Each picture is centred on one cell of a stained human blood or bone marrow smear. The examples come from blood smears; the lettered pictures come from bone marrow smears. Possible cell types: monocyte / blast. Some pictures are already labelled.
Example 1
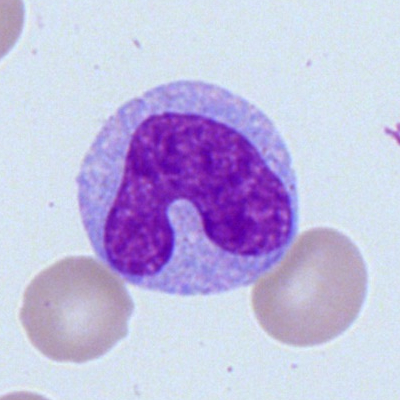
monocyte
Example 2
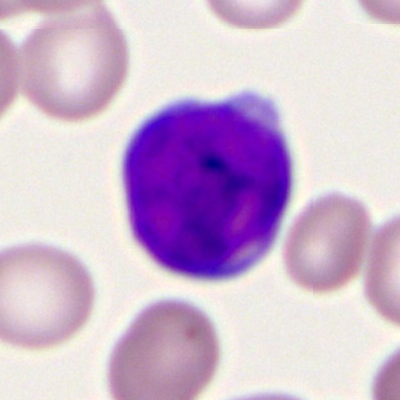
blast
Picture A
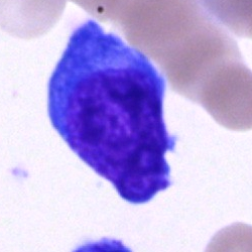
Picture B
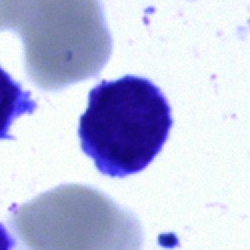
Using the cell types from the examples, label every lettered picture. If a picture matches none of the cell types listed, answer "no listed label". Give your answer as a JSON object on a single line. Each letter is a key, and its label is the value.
{"A": "blast", "B": "no listed label"}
